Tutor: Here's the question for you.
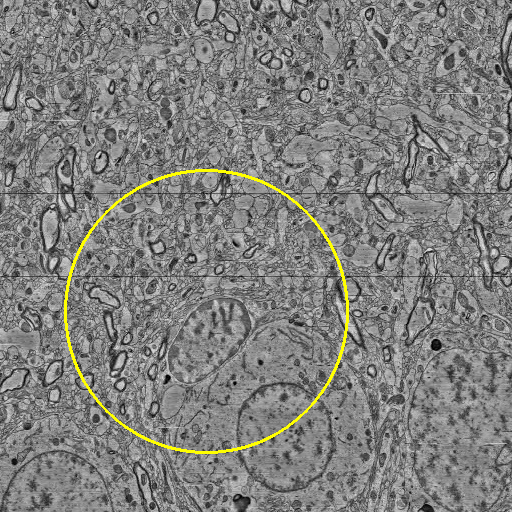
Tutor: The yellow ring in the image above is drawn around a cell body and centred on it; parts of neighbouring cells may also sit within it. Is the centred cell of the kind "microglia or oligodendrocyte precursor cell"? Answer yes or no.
yes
